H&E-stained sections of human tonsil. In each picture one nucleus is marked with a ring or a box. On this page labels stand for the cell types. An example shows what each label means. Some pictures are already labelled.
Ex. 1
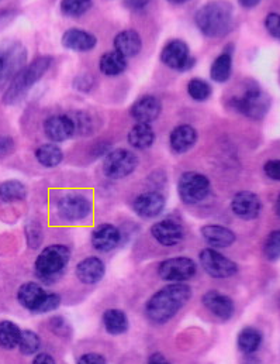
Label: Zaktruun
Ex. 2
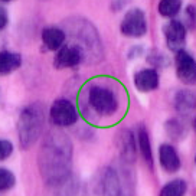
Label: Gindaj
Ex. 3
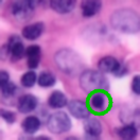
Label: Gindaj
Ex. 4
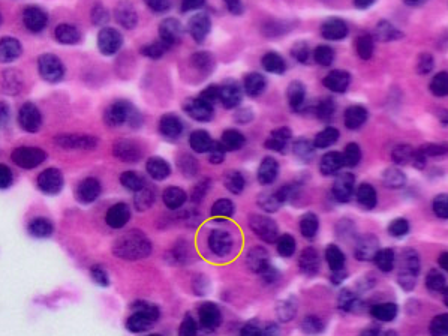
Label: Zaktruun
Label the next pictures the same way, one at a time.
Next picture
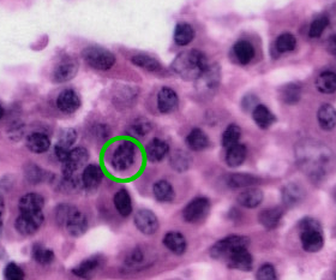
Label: Zaktruun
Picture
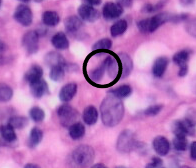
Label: Gindaj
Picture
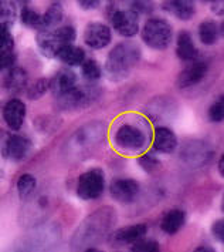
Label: Gindaj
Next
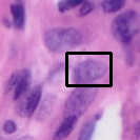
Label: Gindaj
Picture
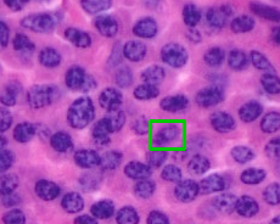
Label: Zaktruun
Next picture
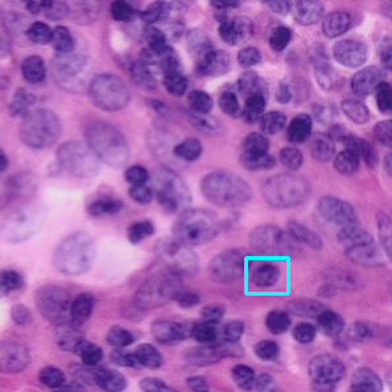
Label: Gindaj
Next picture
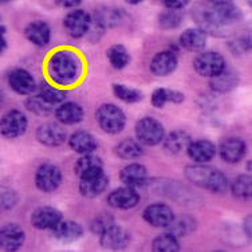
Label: Zaktruun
